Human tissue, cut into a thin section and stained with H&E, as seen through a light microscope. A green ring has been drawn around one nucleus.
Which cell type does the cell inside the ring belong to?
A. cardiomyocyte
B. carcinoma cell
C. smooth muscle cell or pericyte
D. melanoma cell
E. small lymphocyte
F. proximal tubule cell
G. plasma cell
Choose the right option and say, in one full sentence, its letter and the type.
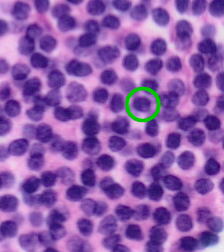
It is option E that is correct, the cell inside the ring being a small lymphocyte.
